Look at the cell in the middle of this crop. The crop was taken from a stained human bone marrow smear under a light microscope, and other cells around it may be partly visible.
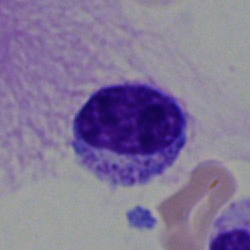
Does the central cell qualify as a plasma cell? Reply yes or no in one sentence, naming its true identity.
No, the cell placed in the centre is a myelocyte and is not a plasma cell.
